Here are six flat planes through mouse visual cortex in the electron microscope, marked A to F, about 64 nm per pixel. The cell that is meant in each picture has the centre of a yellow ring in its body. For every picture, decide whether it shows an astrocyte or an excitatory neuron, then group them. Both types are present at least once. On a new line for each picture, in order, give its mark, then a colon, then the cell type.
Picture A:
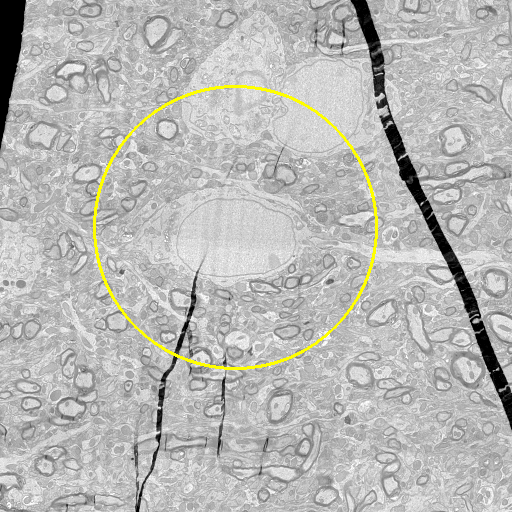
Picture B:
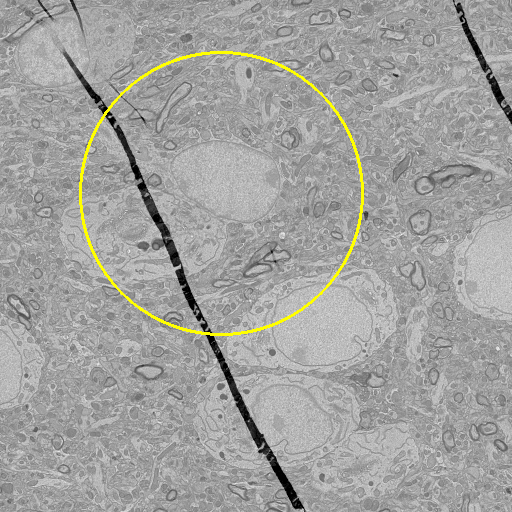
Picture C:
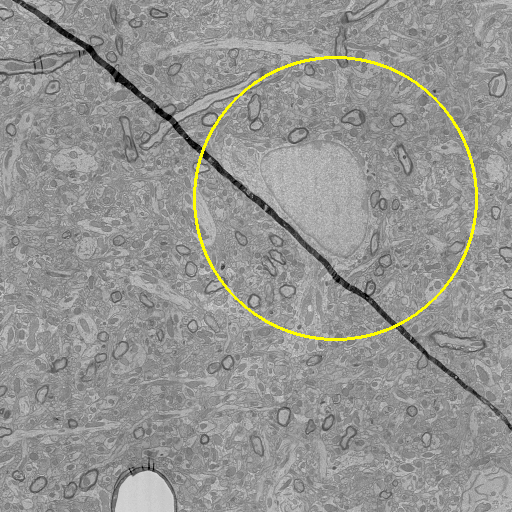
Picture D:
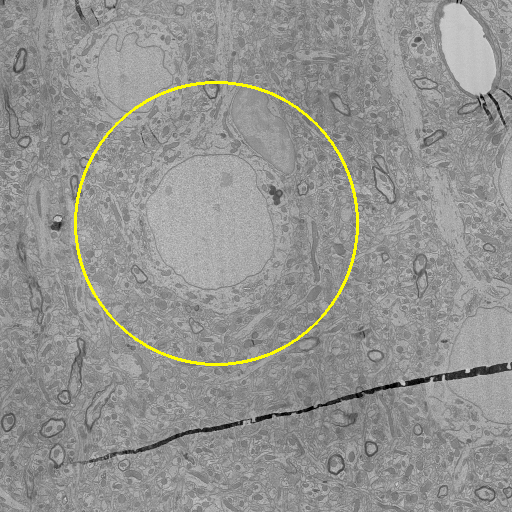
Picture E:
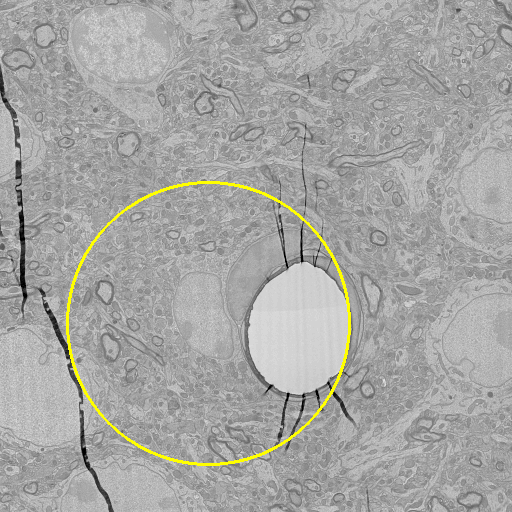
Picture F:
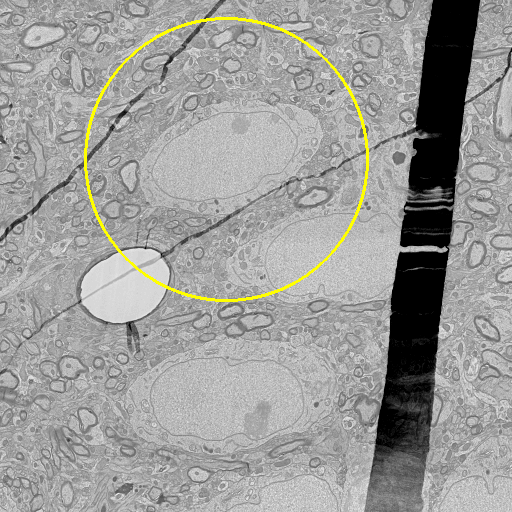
A: excitatory neuron
B: astrocyte
C: astrocyte
D: excitatory neuron
E: astrocyte
F: excitatory neuron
